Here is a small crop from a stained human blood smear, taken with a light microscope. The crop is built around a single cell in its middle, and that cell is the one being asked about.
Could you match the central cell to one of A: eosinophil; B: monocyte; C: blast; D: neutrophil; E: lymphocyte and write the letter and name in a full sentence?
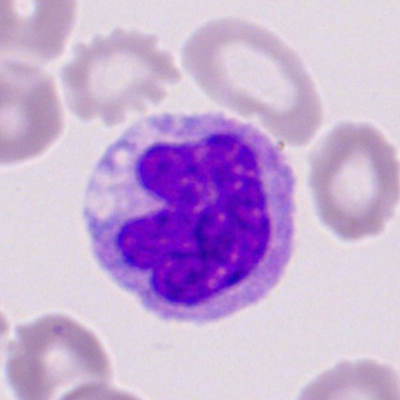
The cell centred in the crop is a monocyte, and the correct option is thus B.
